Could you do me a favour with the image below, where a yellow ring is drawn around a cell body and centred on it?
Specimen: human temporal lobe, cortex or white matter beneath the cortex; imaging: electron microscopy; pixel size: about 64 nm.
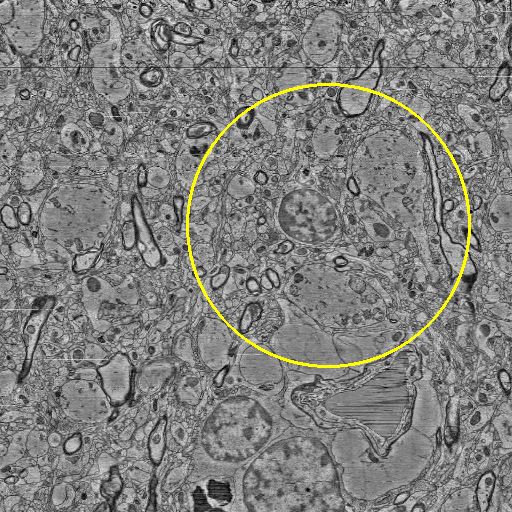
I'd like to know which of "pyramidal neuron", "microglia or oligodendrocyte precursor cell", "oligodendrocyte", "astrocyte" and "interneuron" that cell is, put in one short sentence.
The cell at the ring's centre is a microglial cell or oligodendrocyte precursor cell.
